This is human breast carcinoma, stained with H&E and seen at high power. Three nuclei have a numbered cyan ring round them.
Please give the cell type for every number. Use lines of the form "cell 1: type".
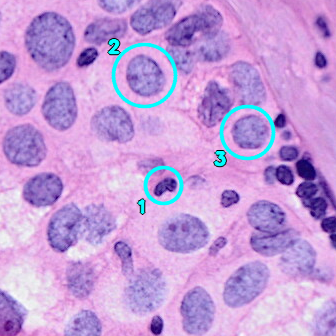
cell 1: lymphocyte
cell 2: carcinoma cell
cell 3: carcinoma cell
